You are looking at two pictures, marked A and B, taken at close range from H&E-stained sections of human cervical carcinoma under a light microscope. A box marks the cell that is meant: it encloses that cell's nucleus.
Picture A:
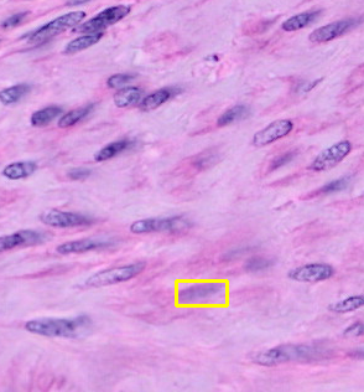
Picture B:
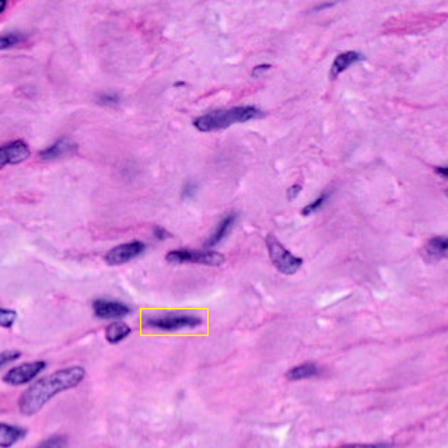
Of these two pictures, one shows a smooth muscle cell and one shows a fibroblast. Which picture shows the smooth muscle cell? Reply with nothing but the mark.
A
